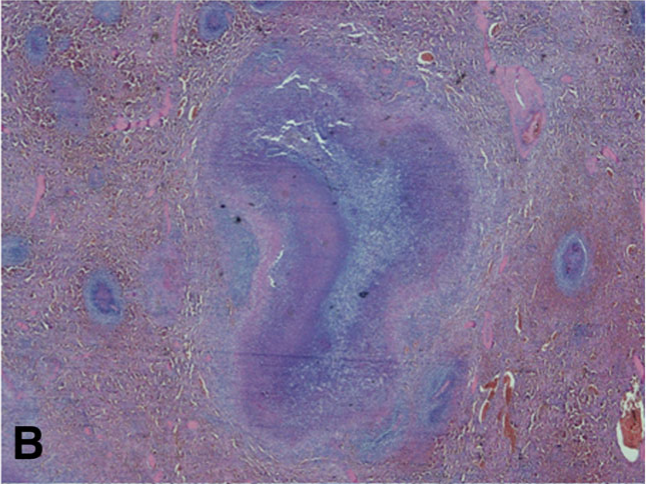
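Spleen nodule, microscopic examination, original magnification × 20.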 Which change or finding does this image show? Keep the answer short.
Areas of necrosis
